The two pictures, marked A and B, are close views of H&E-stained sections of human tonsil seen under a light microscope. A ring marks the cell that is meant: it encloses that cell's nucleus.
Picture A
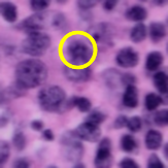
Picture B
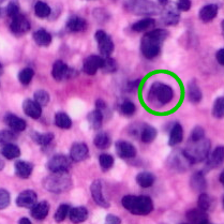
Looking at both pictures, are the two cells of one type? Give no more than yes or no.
yes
